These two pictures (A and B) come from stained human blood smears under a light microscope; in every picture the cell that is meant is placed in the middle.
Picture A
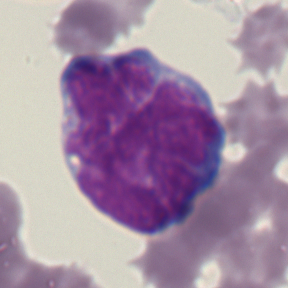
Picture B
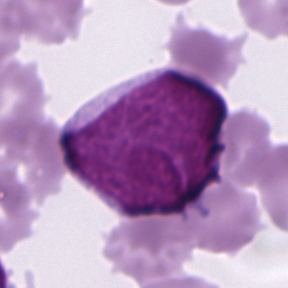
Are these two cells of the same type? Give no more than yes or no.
yes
